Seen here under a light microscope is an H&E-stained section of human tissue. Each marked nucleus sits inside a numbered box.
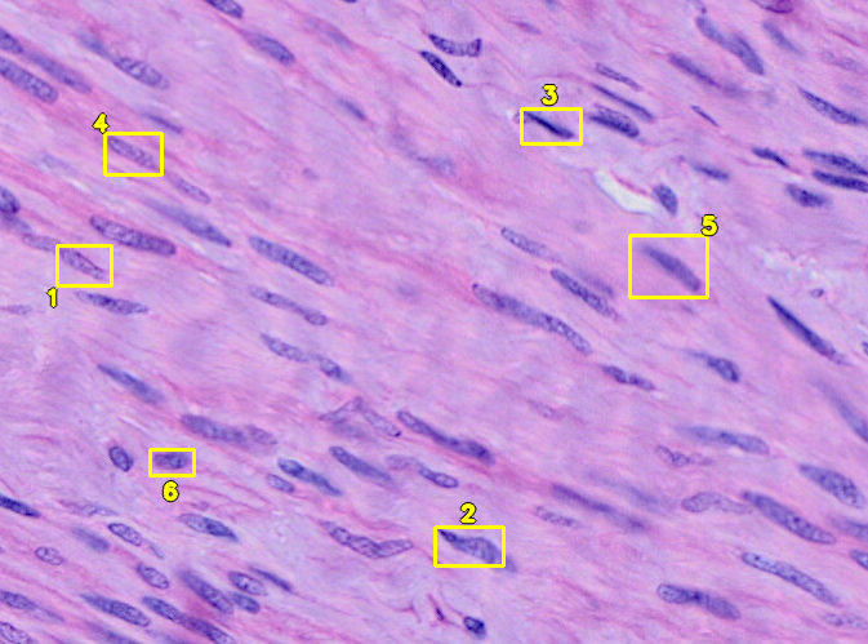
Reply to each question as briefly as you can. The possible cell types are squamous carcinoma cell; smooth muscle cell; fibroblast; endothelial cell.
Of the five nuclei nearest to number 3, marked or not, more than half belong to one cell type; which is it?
fibroblast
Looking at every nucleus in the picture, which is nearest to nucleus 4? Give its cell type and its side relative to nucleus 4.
a smooth muscle cell above and to the right of nucleus 4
